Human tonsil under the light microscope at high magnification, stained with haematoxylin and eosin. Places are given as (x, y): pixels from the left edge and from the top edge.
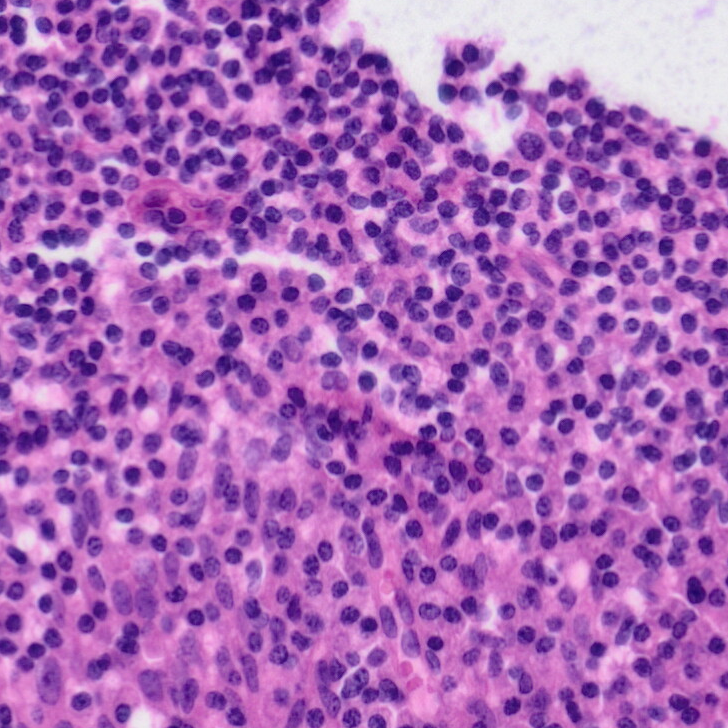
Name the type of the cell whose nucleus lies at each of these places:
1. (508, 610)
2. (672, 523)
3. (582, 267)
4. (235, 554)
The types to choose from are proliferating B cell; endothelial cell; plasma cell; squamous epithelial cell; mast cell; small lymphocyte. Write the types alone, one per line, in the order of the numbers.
plasma cell
plasma cell
small lymphocyte
plasma cell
